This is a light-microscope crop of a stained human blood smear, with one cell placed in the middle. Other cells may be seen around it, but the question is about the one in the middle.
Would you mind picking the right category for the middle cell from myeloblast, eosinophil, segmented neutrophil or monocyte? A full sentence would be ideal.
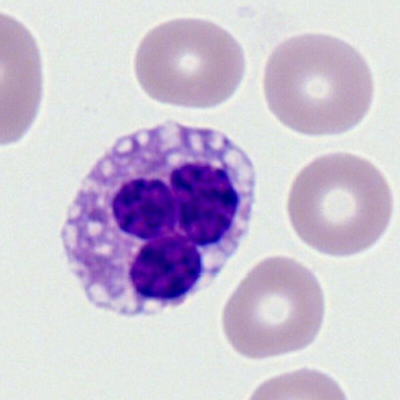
On this slide crop, the central cell is a segmented neutrophil.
